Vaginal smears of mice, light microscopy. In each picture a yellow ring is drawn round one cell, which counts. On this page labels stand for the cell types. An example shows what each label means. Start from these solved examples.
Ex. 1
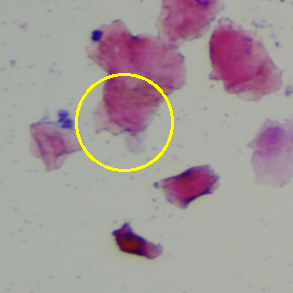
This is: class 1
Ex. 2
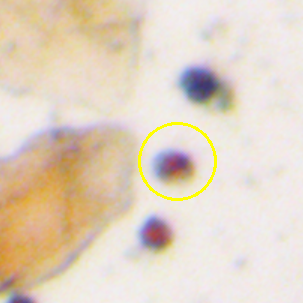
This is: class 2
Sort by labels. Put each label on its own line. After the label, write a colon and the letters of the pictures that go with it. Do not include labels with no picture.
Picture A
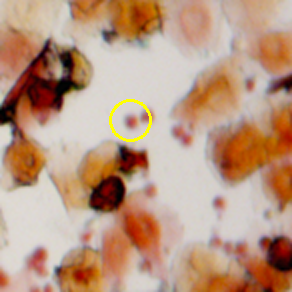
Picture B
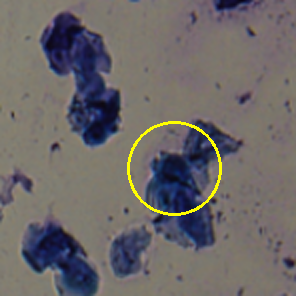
class 1: B
class 2: A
